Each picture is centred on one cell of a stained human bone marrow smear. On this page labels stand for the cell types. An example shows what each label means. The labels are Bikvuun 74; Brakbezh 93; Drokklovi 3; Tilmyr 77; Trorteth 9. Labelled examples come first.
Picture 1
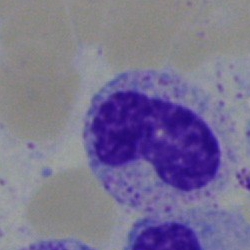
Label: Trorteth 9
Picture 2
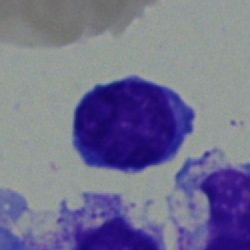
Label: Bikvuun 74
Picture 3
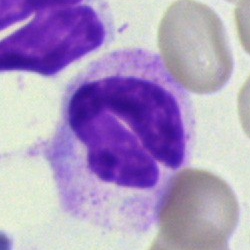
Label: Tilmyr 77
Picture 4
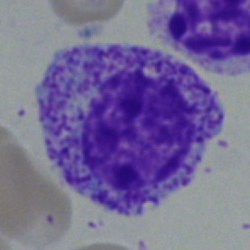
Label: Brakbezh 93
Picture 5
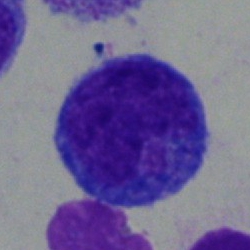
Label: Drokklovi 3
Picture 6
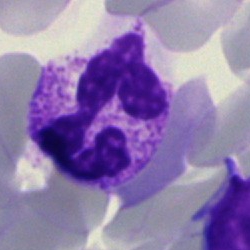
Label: Tilmyr 77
